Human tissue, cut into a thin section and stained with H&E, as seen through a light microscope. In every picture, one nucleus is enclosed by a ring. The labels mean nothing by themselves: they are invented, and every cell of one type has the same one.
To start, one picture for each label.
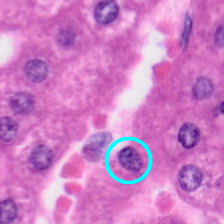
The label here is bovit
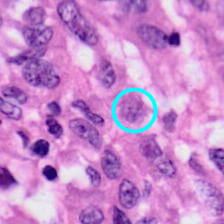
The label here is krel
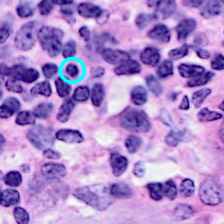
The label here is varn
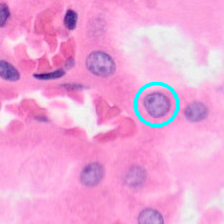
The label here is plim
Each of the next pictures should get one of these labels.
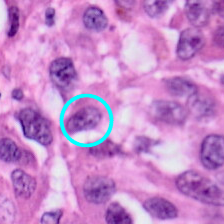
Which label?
krel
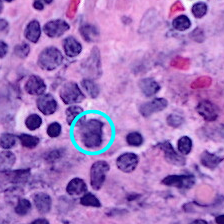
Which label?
varn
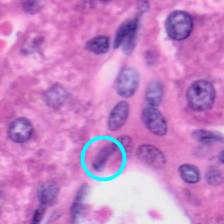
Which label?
bovit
